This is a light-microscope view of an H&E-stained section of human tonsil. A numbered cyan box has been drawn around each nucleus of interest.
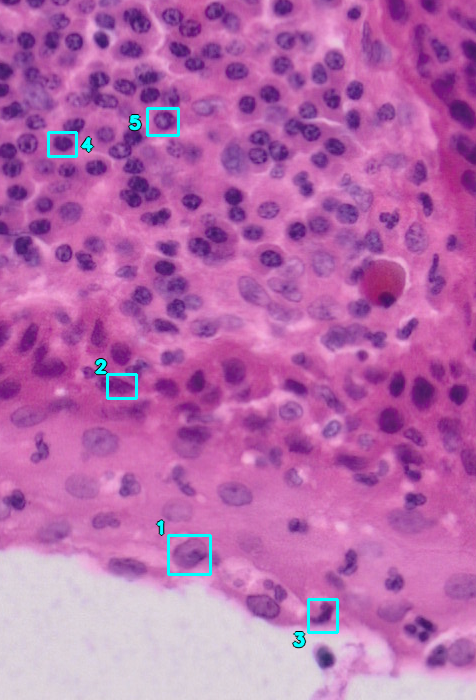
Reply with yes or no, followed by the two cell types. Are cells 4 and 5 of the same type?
Yes, both are plasma cells.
